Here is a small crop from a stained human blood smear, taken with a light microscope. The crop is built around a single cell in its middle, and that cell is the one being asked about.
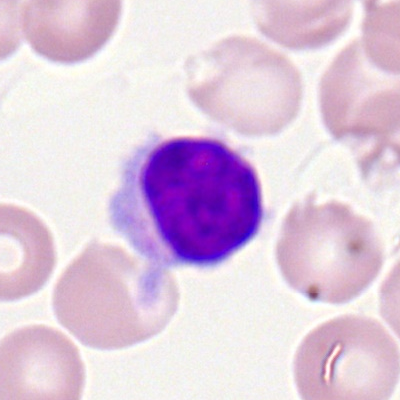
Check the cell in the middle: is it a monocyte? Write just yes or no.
no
